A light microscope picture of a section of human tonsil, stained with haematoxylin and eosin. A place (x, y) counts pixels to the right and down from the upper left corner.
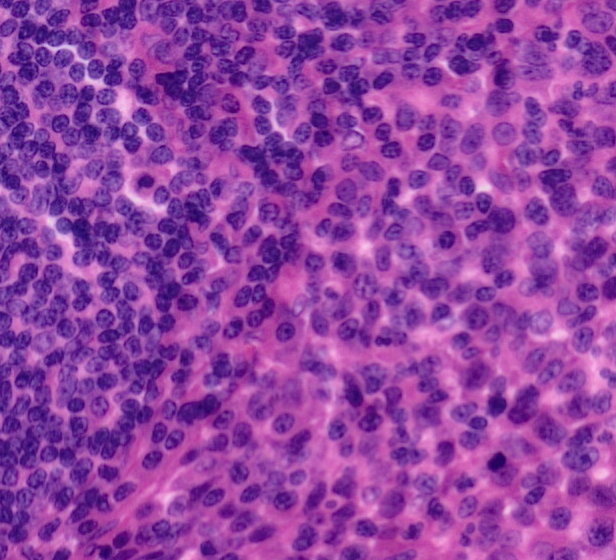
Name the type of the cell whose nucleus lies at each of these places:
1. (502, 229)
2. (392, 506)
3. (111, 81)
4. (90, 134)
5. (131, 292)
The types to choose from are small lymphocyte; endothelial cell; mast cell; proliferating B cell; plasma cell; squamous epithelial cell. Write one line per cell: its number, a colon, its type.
1: squamous epithelial cell
2: squamous epithelial cell
3: small lymphocyte
4: small lymphocyte
5: small lymphocyte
